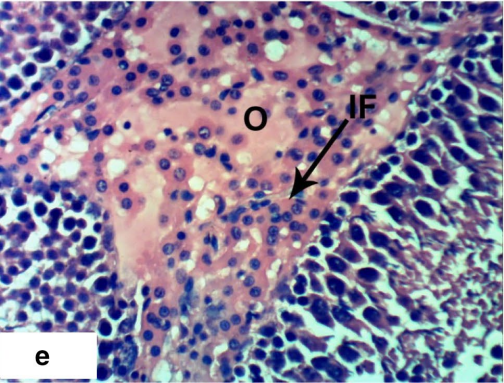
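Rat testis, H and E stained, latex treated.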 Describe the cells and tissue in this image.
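Between seminiferous tubules lies a wedge of pale pink, homogeneous material consistent with oedema fluid, in which numerous small round dark-nucleated cells are scattered, an inflammatory cell infiltrate. The surrounding tubules retain densely packed germ cells with dark nuclei.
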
